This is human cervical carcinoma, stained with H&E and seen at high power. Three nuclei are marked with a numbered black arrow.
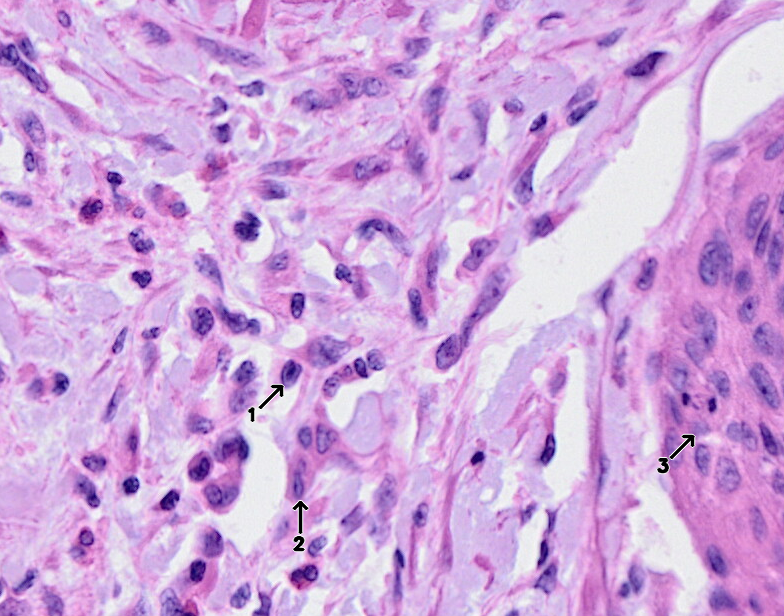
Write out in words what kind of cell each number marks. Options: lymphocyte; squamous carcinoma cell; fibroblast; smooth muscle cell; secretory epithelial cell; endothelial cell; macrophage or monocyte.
Cell 1 is a lymphocyte, cell 2 is an endothelial cell and cell 3 is a squamous carcinoma cell.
